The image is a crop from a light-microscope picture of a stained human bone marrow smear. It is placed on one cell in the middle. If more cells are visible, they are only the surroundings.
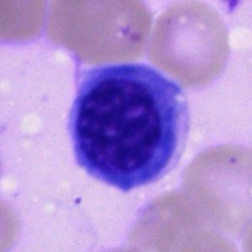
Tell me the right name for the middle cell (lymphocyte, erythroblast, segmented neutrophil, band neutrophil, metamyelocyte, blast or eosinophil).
erythroblast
